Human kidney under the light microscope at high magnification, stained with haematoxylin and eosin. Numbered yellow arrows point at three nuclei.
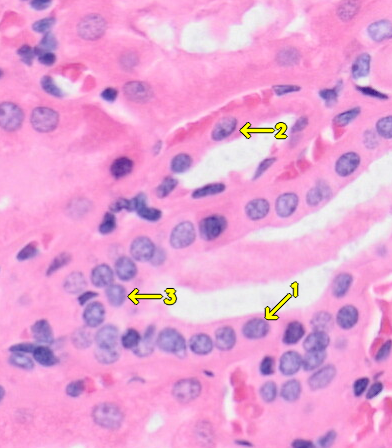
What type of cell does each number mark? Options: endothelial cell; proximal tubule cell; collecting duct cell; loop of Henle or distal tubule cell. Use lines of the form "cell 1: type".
cell 1: collecting duct cell
cell 2: loop of Henle or distal tubule cell
cell 3: collecting duct cell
